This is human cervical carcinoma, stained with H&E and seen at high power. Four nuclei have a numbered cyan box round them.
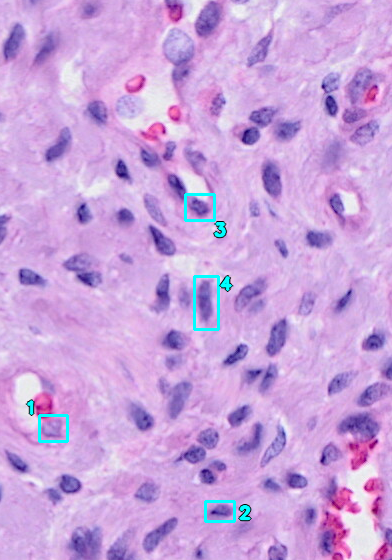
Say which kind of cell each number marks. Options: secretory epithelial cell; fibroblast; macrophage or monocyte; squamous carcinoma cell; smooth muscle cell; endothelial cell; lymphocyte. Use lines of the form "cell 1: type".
cell 1: endothelial cell
cell 2: fibroblast
cell 3: endothelial cell
cell 4: fibroblast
